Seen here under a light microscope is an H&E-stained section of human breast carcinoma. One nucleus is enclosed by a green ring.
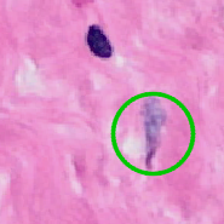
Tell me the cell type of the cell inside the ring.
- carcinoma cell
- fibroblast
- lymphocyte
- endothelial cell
fibroblast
